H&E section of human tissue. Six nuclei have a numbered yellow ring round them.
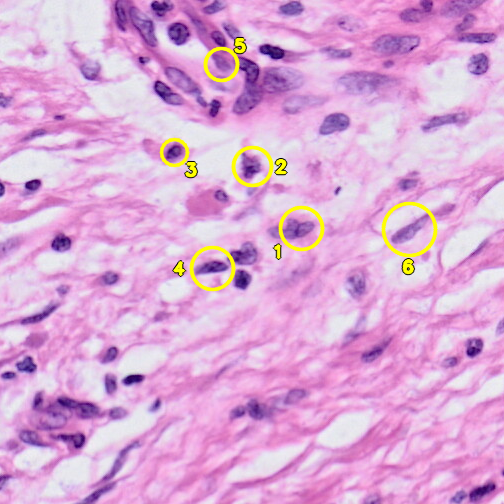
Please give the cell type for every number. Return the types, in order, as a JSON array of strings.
["macrophage or monocyte", "macrophage or monocyte", "macrophage or monocyte", "macrophage or monocyte", "endothelial cell", "fibroblast or myofibroblast"]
